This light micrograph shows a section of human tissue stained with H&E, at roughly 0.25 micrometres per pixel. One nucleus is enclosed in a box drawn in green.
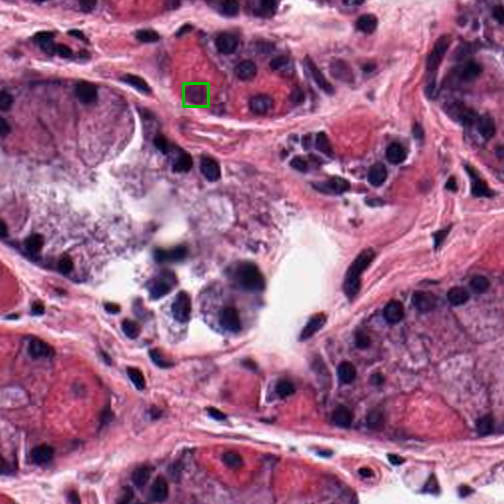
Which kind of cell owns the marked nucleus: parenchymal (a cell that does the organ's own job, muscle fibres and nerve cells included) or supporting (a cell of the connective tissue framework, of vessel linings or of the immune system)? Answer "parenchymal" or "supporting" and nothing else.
parenchymal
